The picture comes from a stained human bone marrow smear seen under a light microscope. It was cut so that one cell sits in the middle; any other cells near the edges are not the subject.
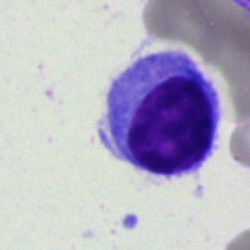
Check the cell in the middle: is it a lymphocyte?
yes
